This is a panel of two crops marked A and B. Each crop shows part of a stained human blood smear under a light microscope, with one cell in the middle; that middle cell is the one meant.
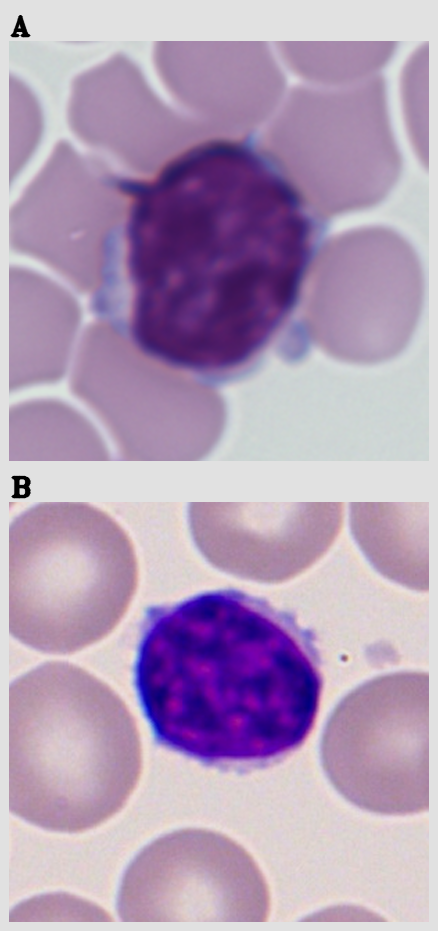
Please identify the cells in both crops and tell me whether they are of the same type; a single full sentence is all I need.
Yes, the cells centred in the two crops are both lymphocytes.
